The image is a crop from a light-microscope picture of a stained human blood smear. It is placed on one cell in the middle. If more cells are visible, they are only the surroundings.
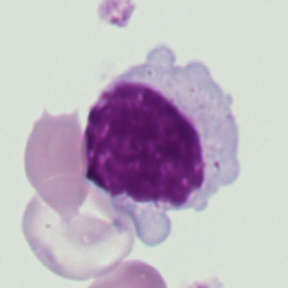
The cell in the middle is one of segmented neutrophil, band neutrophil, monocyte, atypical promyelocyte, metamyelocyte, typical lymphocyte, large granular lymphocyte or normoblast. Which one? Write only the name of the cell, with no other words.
large granular lymphocyte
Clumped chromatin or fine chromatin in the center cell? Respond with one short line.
The nucleus shows chromatin that is coarsely clumped.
